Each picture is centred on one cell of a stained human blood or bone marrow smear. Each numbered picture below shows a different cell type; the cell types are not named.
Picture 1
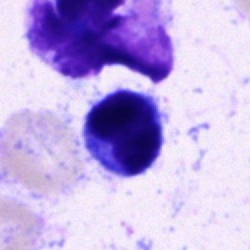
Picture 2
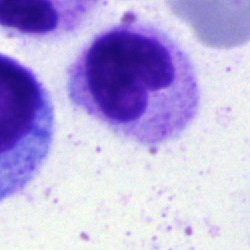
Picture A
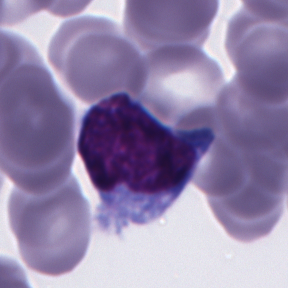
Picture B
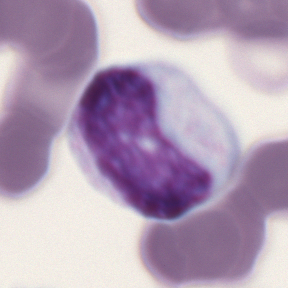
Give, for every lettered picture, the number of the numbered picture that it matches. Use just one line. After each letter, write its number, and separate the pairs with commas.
A 1, B 2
